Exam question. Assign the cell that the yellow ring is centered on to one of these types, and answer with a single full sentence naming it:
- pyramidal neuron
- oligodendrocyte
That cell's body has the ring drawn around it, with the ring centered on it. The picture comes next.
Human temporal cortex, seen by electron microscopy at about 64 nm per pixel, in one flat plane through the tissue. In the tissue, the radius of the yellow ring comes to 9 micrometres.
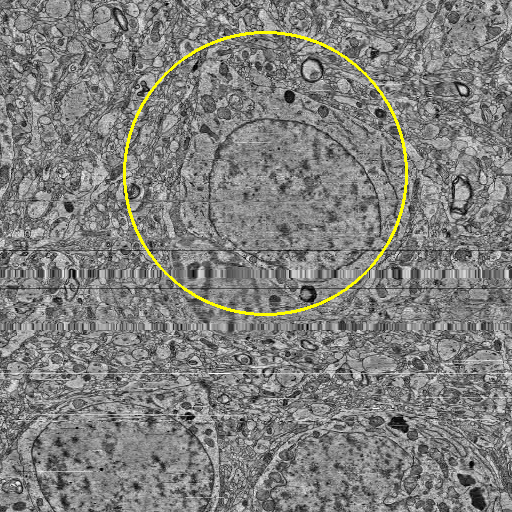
In the micrograph, the cell the yellow ring is centered on is a pyramidal neuron.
